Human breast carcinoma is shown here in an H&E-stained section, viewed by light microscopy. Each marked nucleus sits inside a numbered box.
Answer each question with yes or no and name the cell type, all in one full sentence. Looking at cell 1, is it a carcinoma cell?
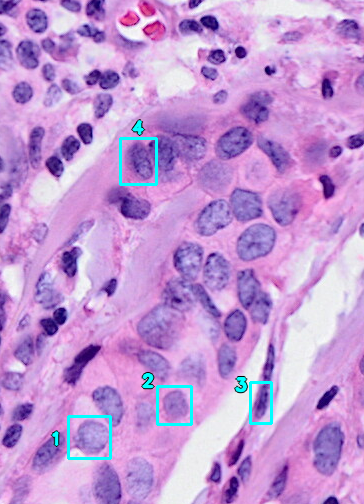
Yes, the numbered nucleus 1 is that of a carcinoma cell.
